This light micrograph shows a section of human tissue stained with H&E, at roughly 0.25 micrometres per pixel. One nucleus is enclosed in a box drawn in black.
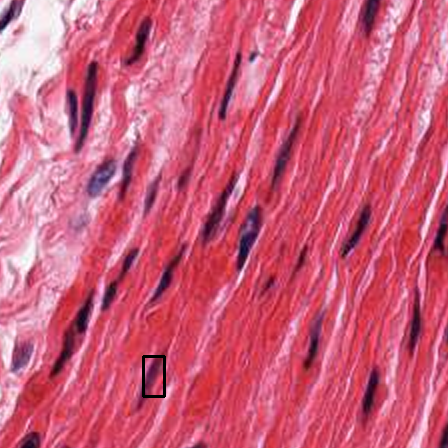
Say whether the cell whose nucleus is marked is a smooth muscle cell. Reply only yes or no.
yes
